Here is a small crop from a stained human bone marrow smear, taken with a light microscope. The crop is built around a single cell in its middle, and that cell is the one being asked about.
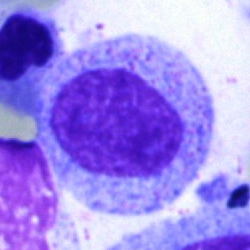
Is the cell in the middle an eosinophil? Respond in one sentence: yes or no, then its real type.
No, the central cell is designated a myelocyte and not an eosinophil.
